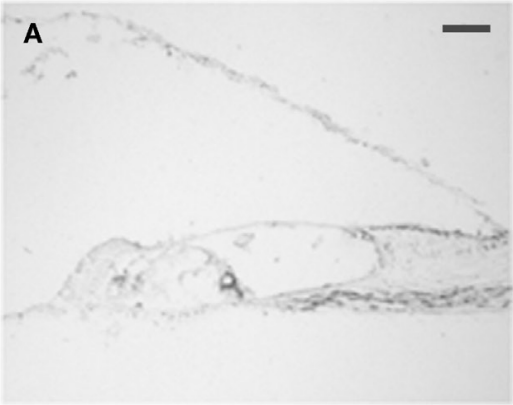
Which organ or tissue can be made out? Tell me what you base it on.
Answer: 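Organ of Corti. A thin membrane runs diagonally from the upper left toward the right, bounding a large empty space. A small ridge of cells sits on a thin basal sheet at the lower left. A thin fibre-filled shelf extends to the right at the bottom.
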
